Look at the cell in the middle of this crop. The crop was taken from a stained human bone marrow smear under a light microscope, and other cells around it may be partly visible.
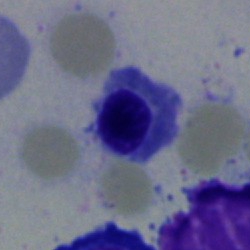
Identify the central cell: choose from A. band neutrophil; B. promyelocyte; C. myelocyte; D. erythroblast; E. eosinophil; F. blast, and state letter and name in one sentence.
That the central cell is an erythroblast makes option D correct.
